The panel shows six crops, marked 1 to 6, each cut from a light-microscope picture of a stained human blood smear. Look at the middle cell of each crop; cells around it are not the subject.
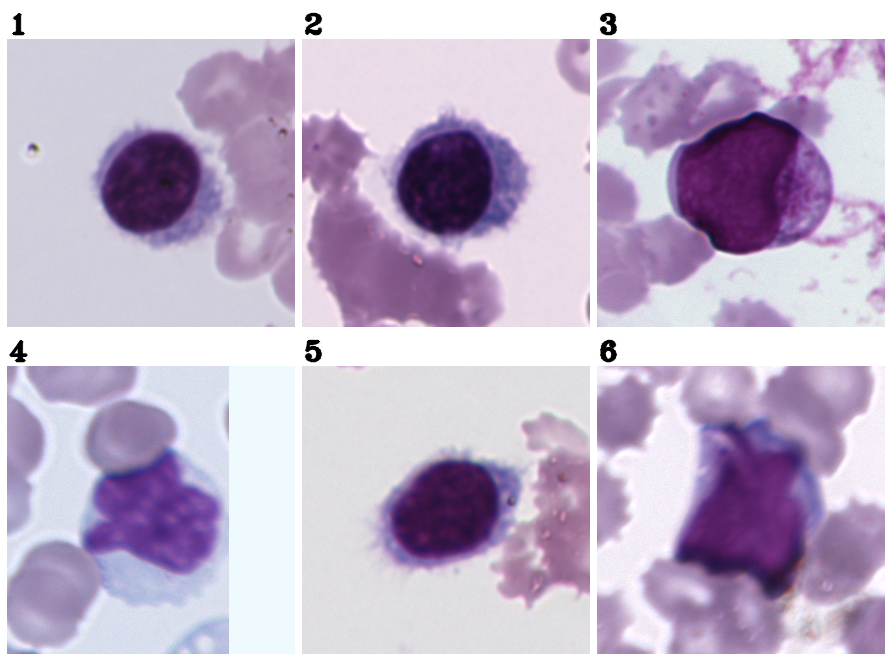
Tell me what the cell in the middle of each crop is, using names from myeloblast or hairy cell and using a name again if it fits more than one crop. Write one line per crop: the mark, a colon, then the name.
1: hairy cell
2: hairy cell
3: myeloblast
4: myeloblast
5: hairy cell
6: myeloblast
